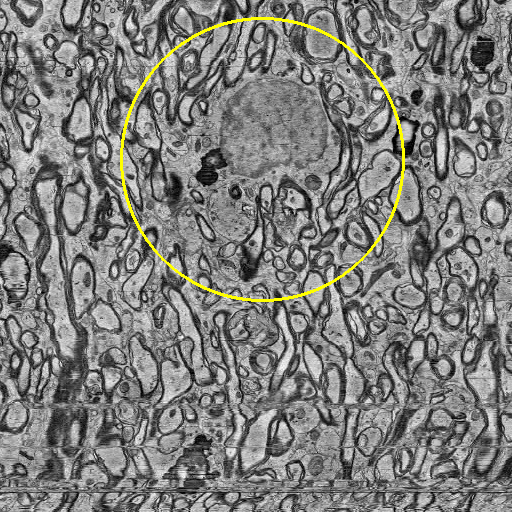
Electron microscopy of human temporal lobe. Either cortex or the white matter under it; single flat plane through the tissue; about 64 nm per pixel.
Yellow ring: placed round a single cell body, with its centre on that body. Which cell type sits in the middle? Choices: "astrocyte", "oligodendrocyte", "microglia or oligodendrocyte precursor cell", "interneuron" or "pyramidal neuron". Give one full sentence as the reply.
It is an oligodendrocyte whose cell body sits at the centre of the yellow ring.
